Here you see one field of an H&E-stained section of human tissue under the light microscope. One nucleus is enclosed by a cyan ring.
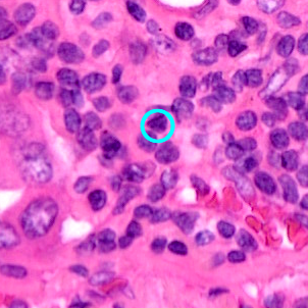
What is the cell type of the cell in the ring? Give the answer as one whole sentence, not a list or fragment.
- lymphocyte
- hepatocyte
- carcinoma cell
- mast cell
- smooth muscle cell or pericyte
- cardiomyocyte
In this tissue sample, the cell in the ring is a lymphocyte.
